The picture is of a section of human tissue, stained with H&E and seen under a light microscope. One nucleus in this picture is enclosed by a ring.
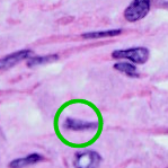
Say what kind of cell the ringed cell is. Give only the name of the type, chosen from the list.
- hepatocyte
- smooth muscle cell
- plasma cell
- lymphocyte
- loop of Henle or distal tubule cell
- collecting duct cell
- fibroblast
fibroblast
